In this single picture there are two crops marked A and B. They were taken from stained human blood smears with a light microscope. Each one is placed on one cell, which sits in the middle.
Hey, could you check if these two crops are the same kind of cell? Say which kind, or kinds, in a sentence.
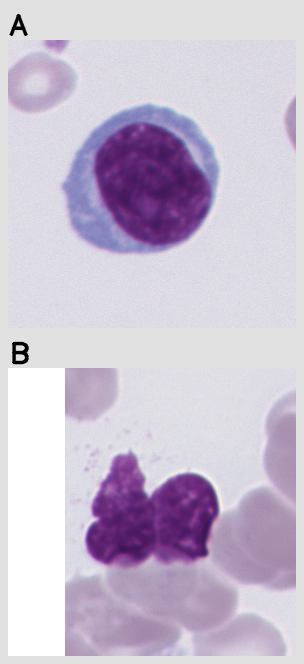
No, a typical lymphocyte is in crop A, and a smudge cell is in crop B.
